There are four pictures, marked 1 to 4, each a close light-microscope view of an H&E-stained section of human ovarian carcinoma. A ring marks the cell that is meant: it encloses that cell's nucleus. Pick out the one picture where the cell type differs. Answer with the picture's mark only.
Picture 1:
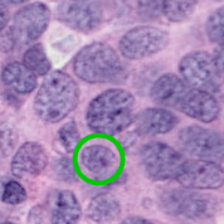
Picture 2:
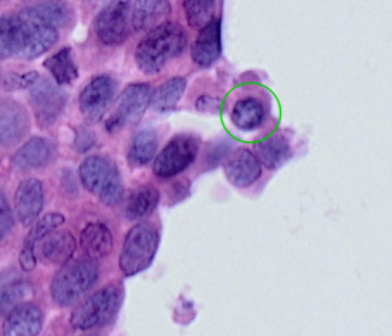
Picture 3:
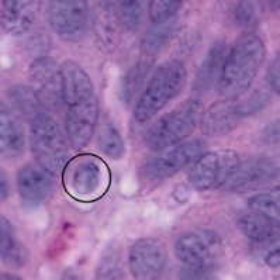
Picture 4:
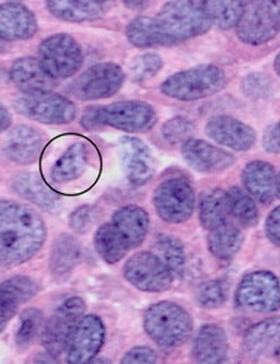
1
